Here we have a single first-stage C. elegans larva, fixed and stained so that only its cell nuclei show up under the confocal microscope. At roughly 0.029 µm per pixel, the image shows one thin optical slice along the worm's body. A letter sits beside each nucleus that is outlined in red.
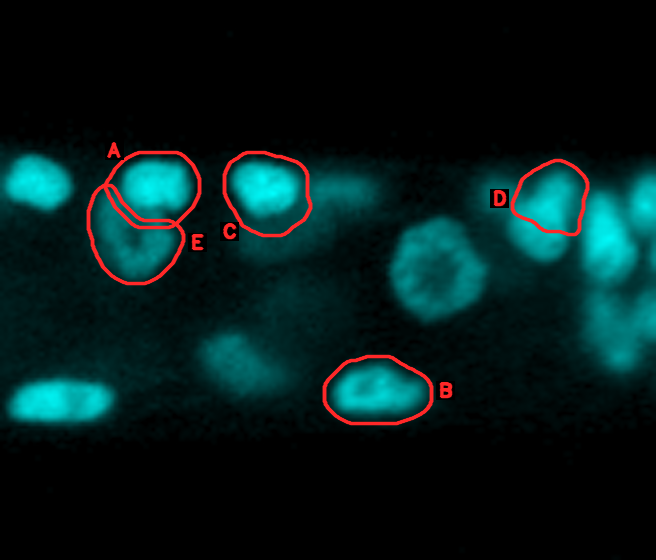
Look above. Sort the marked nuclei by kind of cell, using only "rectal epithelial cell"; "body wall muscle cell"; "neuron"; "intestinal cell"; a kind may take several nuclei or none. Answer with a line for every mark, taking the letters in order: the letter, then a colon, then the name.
A: neuron
B: body wall muscle cell
C: neuron
D: neuron
E: intestinal cell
